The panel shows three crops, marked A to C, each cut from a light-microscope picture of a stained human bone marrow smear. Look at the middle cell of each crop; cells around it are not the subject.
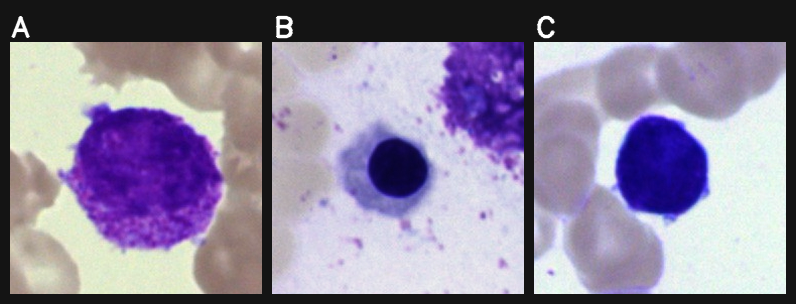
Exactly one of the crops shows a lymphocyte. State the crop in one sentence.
The sole crop showing a lymphocyte is crop C.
